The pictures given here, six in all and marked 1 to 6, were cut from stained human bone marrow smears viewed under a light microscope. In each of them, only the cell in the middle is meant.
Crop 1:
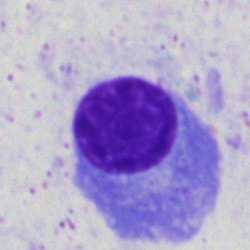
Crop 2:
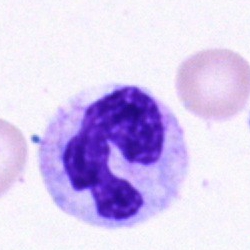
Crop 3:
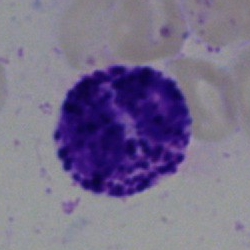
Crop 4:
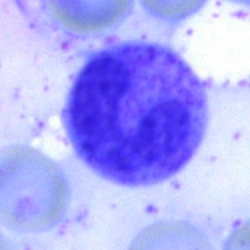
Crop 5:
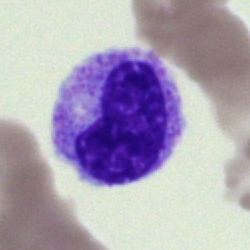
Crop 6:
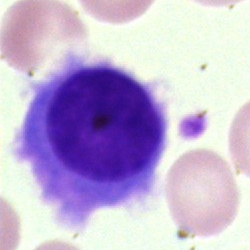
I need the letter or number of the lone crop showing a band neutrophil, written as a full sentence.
Crop 4 is where a band neutrophil is shown.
